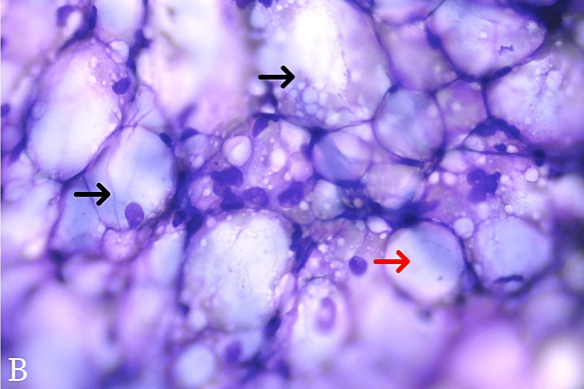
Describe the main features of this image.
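Large rounded cells packed side by side, each largely taken up by clear vacuoles bounded by thin purple cytoplasmic rims, with small dark purple nuclei pressed to their edges. Some cells hold a single large vacuole, while others contain several smaller clear vacuoles. These are mature fat cells with single vacuoles, mixed with lipoblasts showing single or multiple vacuoles.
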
